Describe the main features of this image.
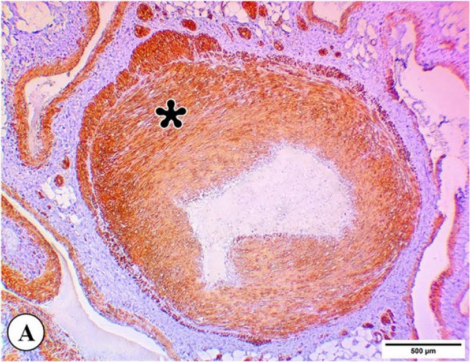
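This is a cross section of a muscular artery whose wall is dominated by a very thick tunica media stained brown. The media consists of densely packed, elongated cells arranged in concentric circles around an irregular, partly collapsed lumen. Outside the media lies a paler layer of connective tissue with scattered blue nuclei, and beyond it loose tissue containing several small vessels, some with brown-stained walls.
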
